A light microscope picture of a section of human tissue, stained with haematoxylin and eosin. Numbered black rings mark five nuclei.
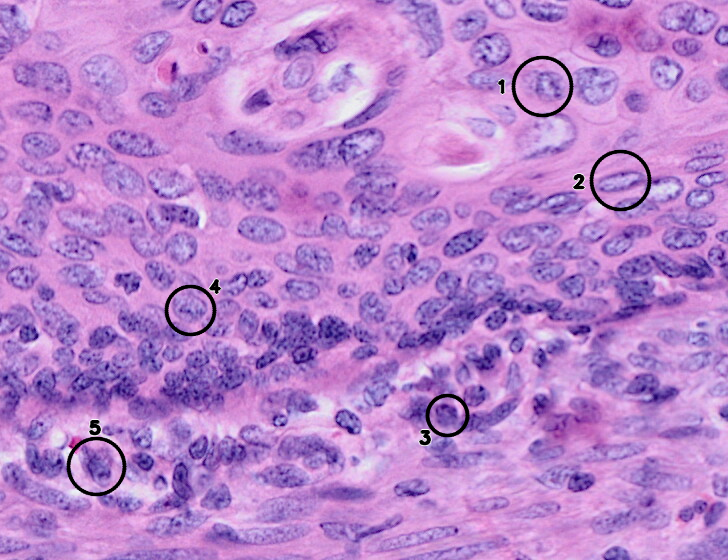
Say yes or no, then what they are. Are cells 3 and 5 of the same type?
No, cell 3 is a lymphocyte and cell 5 is an endothelial cell.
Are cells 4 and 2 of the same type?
Yes, both are squamous carcinoma cells.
